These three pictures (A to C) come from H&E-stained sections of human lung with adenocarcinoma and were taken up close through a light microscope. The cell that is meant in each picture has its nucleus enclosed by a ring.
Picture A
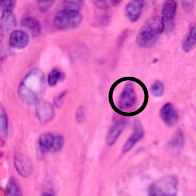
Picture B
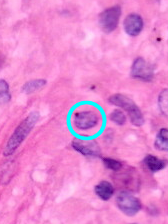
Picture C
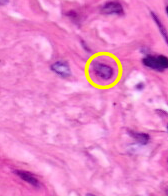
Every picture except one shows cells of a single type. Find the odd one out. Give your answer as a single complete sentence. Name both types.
All pictures except A show mast cells; picture A shows a plasma cell.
